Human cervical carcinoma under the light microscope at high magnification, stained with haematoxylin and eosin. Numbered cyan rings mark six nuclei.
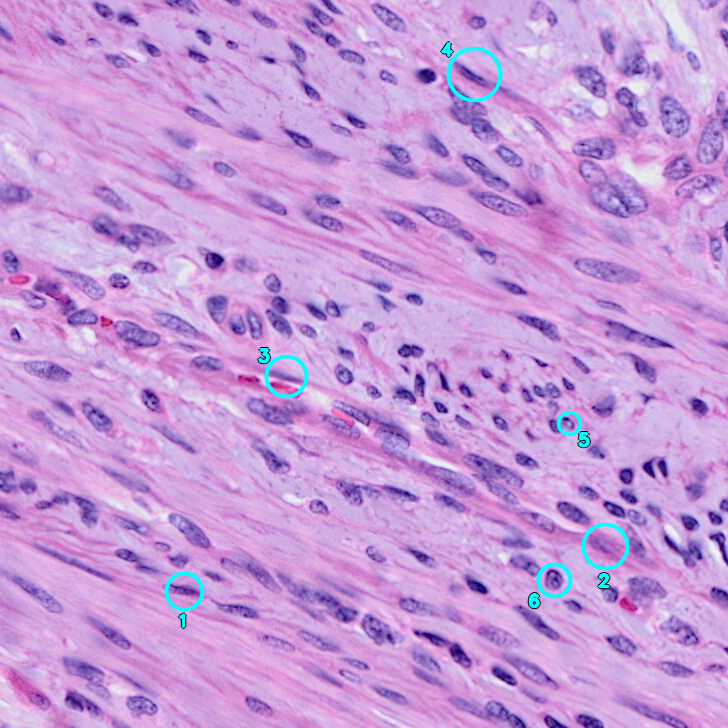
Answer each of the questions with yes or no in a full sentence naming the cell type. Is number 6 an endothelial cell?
No, cell 6 has been misnamed; it is a lymphocyte, not an endothelial cell.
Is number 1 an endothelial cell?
No, the marker 1 sits on a smooth muscle cell, not on an endothelial cell.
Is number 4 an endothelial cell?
Yes, the cell marked by the number 4 is an endothelial cell.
